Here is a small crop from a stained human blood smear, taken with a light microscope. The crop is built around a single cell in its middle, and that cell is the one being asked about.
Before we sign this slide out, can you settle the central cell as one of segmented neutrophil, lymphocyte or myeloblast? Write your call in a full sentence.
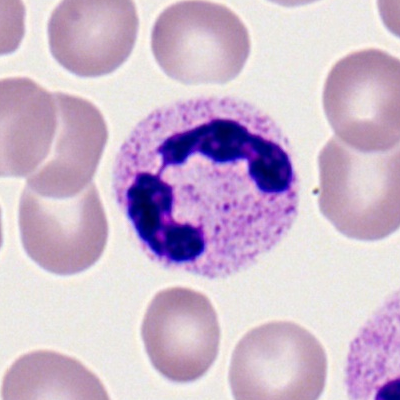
The central cell shown in this smear crop is a segmented neutrophil.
